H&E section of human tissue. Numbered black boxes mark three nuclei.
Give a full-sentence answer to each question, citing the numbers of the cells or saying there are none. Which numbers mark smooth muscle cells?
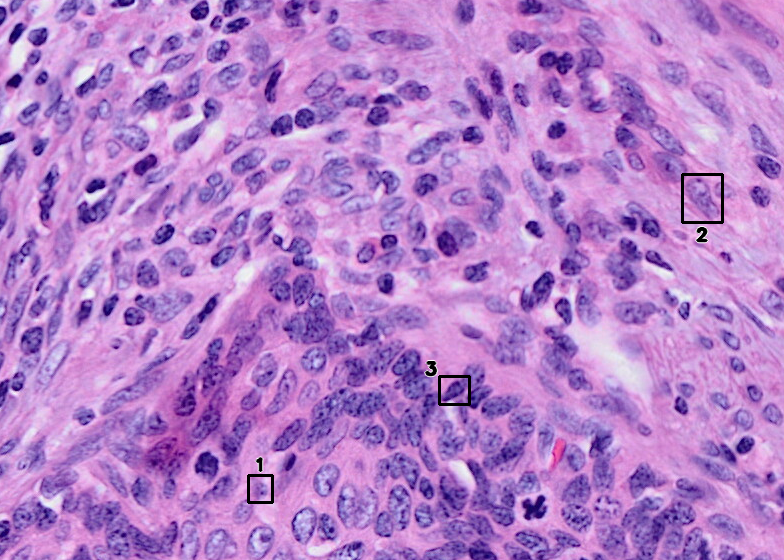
In short, smooth muscle cells do not occur among the numbered cells.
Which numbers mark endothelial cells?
Cell number 2 alone is an endothelial cell; the rest are not.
